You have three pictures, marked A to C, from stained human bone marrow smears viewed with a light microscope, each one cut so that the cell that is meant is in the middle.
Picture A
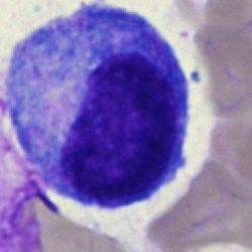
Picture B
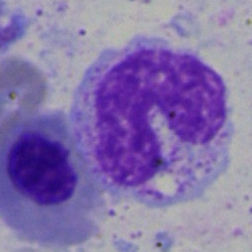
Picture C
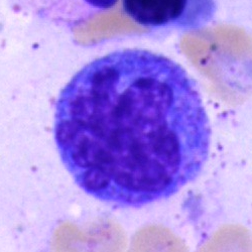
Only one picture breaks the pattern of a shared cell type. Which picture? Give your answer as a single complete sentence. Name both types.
The others show monocytes, but picture A shows a promyelocyte.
